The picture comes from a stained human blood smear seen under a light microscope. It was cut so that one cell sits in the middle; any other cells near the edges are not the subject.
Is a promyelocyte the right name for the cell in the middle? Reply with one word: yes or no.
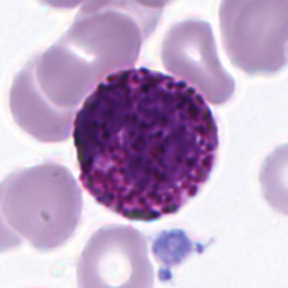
no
